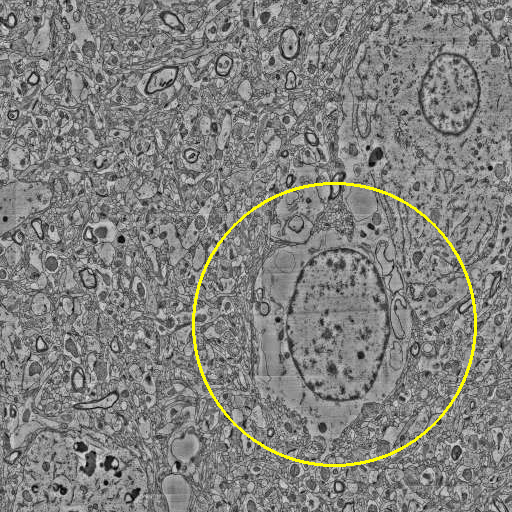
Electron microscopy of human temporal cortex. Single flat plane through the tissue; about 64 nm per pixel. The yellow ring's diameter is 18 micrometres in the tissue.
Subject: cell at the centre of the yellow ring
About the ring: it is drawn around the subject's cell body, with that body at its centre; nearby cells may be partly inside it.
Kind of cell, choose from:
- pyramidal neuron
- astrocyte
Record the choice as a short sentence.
The subject cell is an astrocyte.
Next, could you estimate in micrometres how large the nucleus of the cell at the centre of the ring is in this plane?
The nucleus comes to roughly 10 by 7 micrometres in this plane.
